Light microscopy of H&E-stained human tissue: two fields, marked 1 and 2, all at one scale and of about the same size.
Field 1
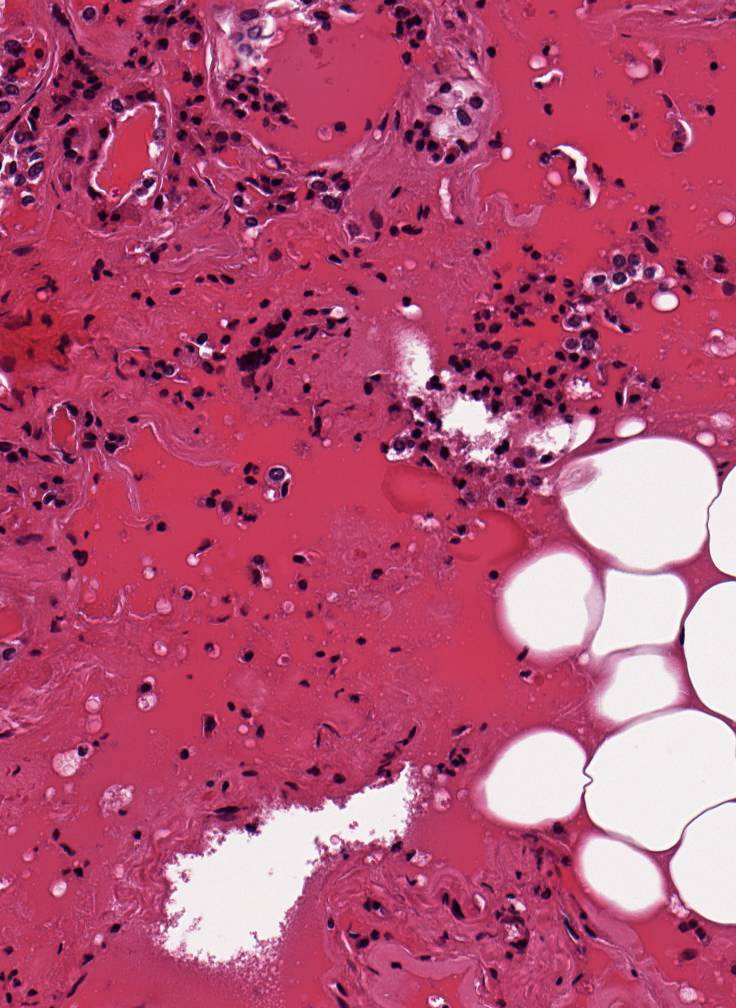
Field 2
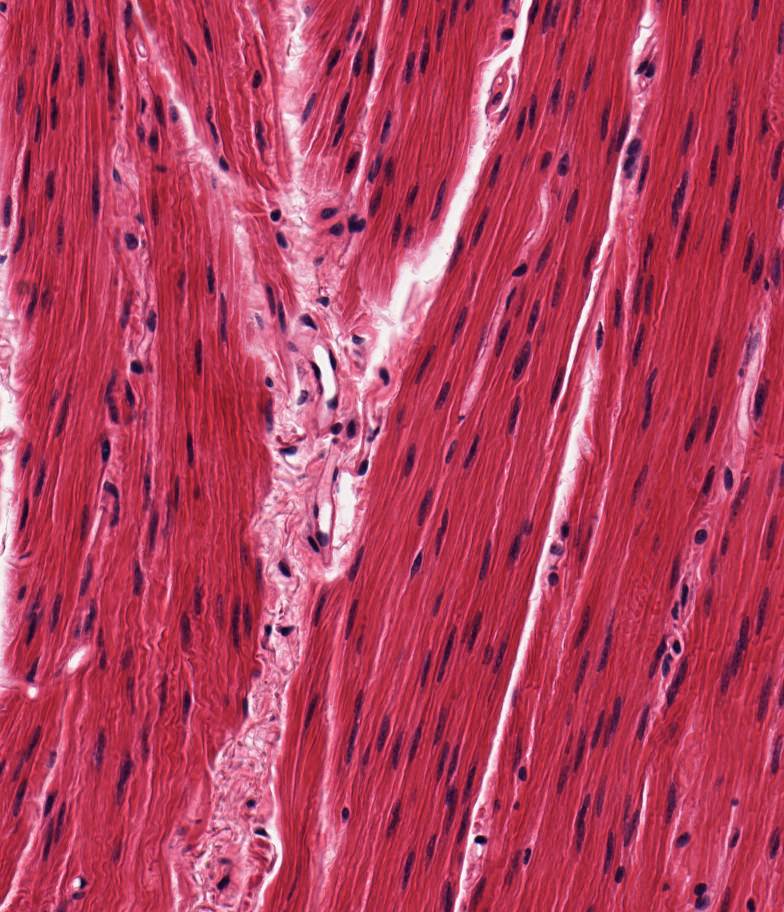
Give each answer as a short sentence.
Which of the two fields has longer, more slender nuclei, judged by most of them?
Longer, more slender nuclei lie in field 2.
